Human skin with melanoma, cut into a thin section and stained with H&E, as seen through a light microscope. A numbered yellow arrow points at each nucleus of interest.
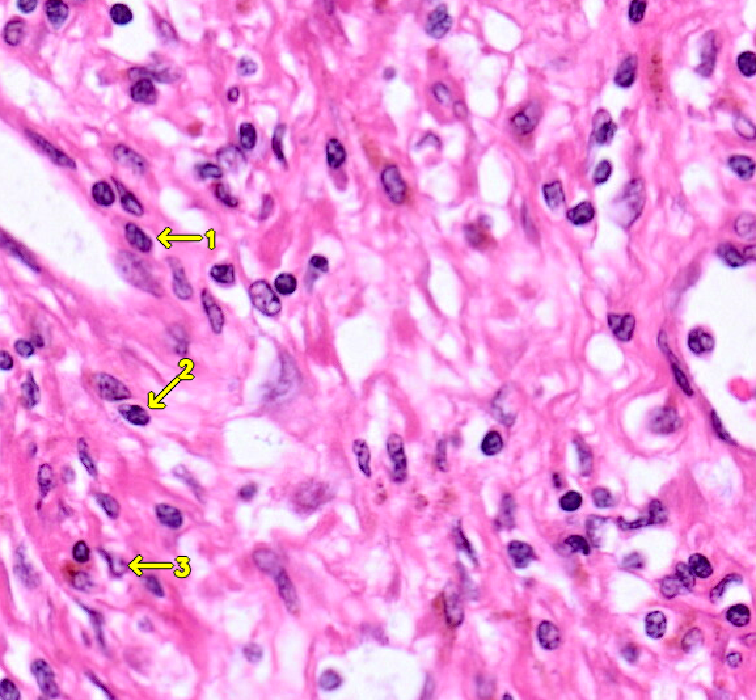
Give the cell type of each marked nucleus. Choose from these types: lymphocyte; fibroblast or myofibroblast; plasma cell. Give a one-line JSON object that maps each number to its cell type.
{"1": "lymphocyte", "2": "lymphocyte", "3": "fibroblast or myofibroblast"}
